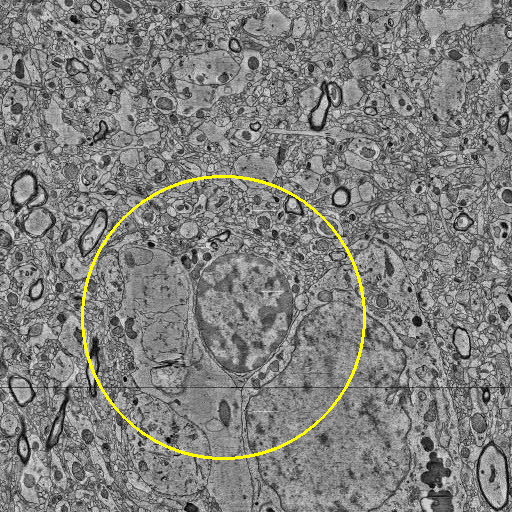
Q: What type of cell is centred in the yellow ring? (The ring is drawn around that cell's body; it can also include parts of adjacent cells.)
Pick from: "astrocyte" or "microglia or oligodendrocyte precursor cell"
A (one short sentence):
The yellow ring is centred on a microglial cell or oligodendrocyte precursor cell.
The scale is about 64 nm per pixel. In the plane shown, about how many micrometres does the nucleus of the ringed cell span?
The nucleus of the ringed cell is approximately 8 by 6 micrometres in this plane.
